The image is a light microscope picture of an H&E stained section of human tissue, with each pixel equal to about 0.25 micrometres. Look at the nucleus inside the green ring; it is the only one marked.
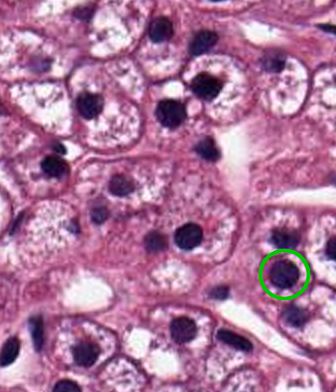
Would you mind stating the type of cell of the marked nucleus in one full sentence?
The marked nucleus is one that belongs to an adrenal cortical cell.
